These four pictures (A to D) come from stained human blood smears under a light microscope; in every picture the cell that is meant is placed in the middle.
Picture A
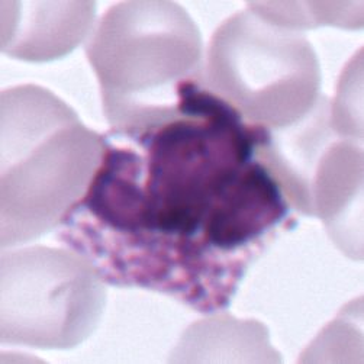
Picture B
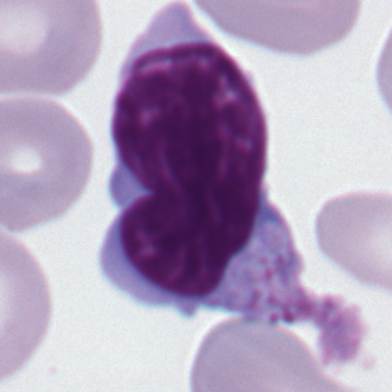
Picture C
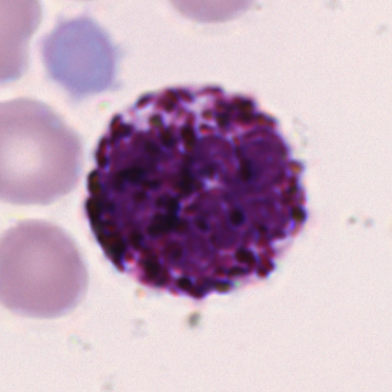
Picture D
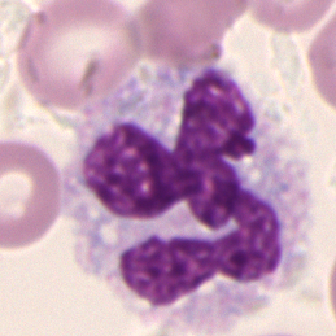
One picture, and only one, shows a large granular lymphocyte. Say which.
B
